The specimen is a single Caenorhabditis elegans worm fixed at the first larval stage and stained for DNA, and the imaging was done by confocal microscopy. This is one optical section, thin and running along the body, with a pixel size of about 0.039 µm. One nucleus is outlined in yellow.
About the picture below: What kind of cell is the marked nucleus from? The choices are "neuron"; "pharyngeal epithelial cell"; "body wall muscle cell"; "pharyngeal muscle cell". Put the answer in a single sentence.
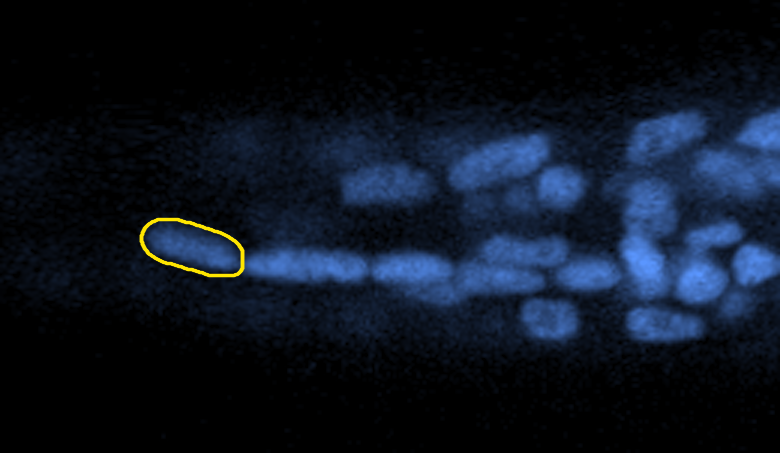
This is the nucleus of a pharyngeal epithelial cell.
